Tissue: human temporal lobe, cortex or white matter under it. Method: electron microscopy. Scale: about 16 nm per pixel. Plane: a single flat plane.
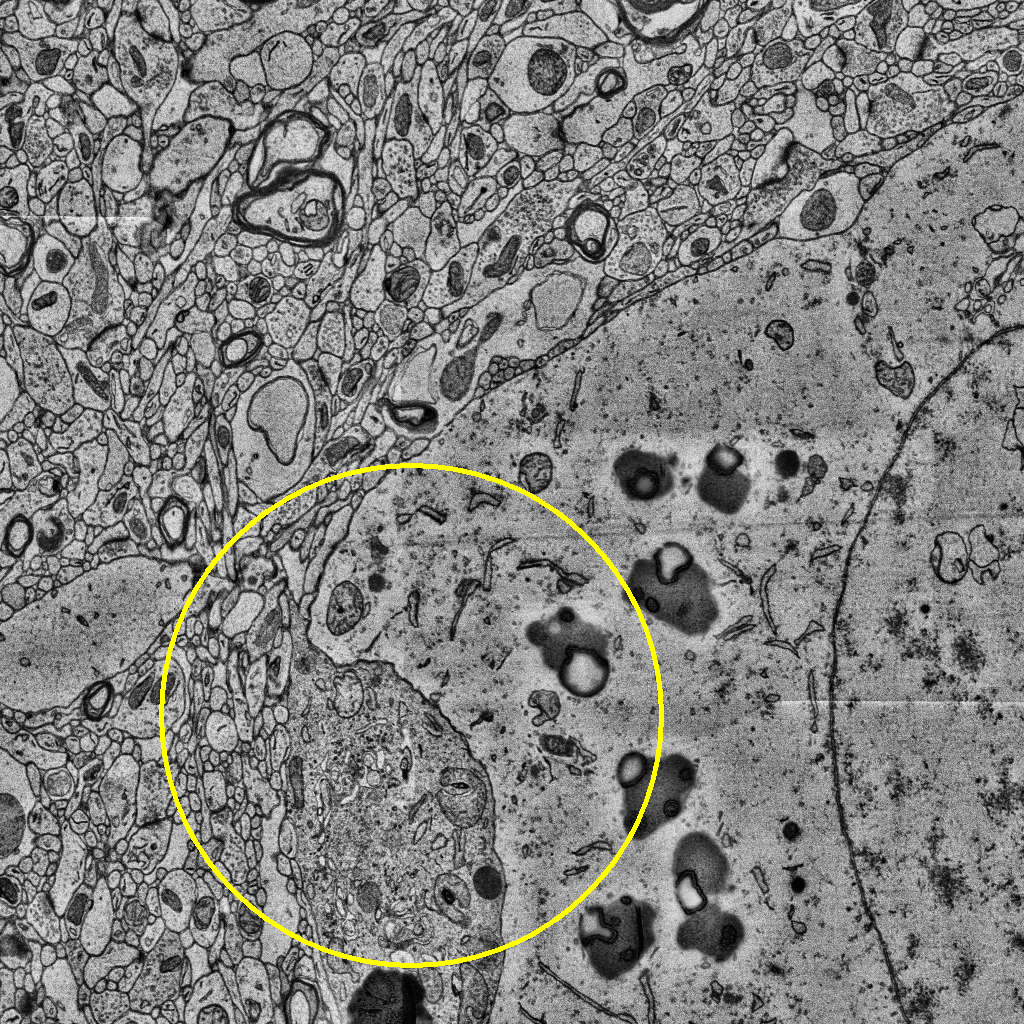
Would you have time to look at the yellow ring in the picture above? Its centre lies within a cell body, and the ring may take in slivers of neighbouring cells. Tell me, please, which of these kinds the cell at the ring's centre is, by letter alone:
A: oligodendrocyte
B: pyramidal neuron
A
